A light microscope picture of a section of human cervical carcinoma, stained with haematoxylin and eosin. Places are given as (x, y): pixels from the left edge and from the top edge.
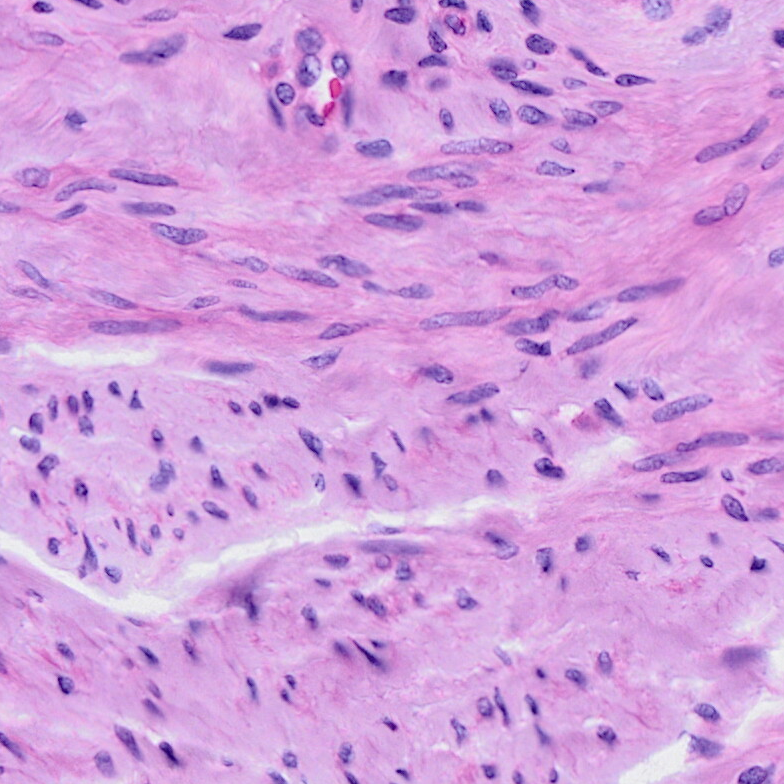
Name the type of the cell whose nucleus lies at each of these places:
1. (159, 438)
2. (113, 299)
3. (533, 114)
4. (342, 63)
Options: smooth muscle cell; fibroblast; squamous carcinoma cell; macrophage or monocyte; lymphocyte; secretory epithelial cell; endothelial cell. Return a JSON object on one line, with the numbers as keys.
{"1": "smooth muscle cell", "2": "smooth muscle cell", "3": "smooth muscle cell", "4": "endothelial cell"}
